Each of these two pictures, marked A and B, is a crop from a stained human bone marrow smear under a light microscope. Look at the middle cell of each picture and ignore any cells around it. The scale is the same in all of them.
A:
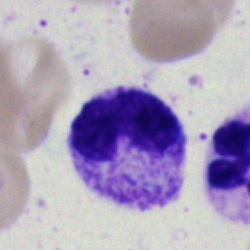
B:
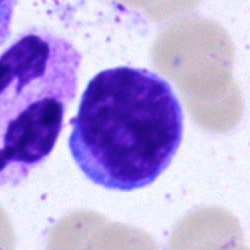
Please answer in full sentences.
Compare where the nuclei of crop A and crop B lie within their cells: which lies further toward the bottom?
The nucleus in crop B lies further toward the bottom of its cell.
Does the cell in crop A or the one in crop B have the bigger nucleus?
Larger is the nucleus in crop B, at roughly 1.5 times the area of the other.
